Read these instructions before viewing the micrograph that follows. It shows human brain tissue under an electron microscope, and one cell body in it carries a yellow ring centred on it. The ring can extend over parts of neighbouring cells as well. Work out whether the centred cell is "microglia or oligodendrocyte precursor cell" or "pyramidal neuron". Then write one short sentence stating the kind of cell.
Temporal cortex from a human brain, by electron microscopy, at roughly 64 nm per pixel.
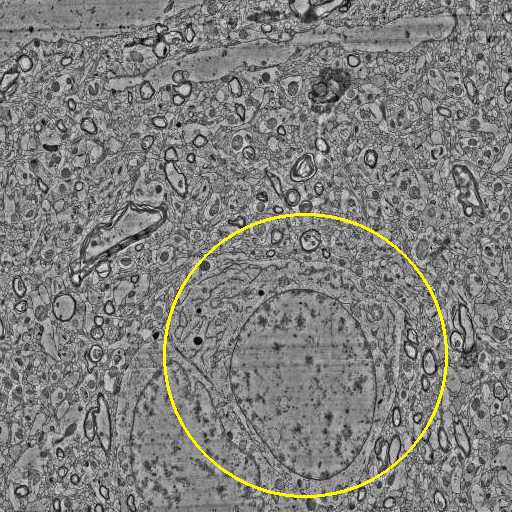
The ringed cell is a pyramidal neuron.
